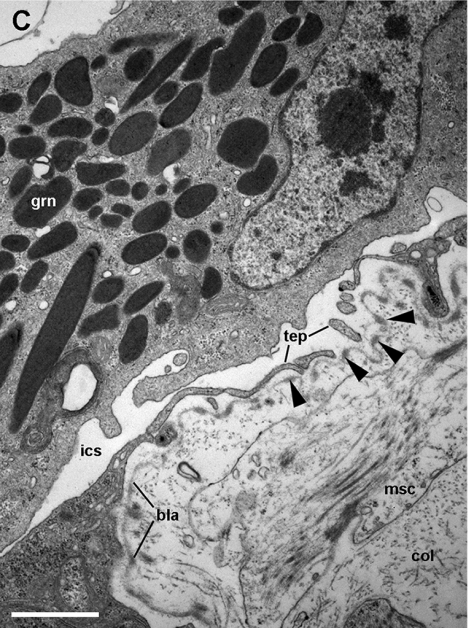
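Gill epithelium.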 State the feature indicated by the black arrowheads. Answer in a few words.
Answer: Electron dense thickenings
